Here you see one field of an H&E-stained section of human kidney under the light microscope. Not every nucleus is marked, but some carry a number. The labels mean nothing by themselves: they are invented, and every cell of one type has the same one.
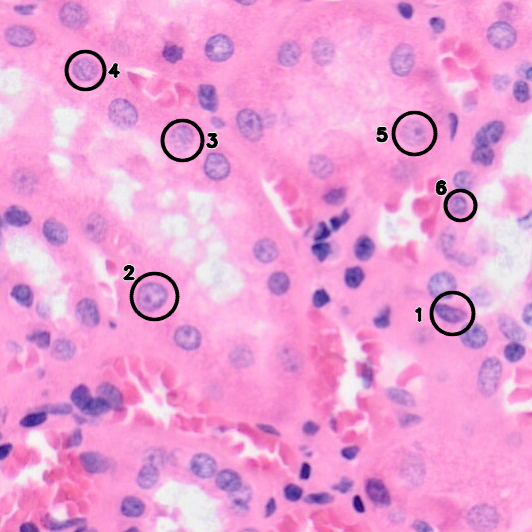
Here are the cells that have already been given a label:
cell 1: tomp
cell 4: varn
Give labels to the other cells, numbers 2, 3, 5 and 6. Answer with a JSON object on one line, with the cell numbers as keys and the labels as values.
{"2": "varn", "3": "varn", "5": "varn", "6": "tomp"}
